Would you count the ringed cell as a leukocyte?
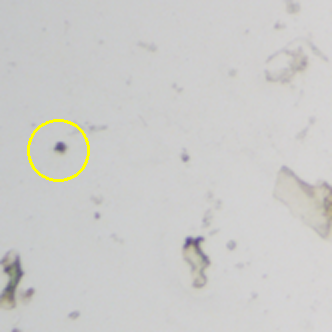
Yes, I would count it as a leukocyte.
